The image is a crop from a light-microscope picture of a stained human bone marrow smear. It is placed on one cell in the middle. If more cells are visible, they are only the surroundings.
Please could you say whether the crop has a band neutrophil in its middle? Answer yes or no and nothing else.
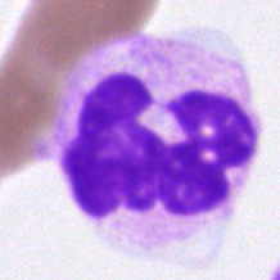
no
